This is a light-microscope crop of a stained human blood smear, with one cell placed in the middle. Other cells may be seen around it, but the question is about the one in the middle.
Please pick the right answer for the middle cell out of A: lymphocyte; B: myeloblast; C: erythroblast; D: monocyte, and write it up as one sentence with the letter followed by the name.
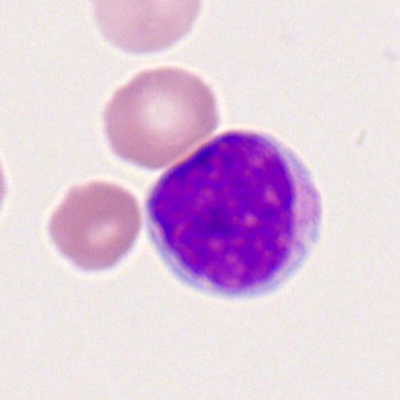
The cell in the middle is a lymphocyte, and so option A is correct.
